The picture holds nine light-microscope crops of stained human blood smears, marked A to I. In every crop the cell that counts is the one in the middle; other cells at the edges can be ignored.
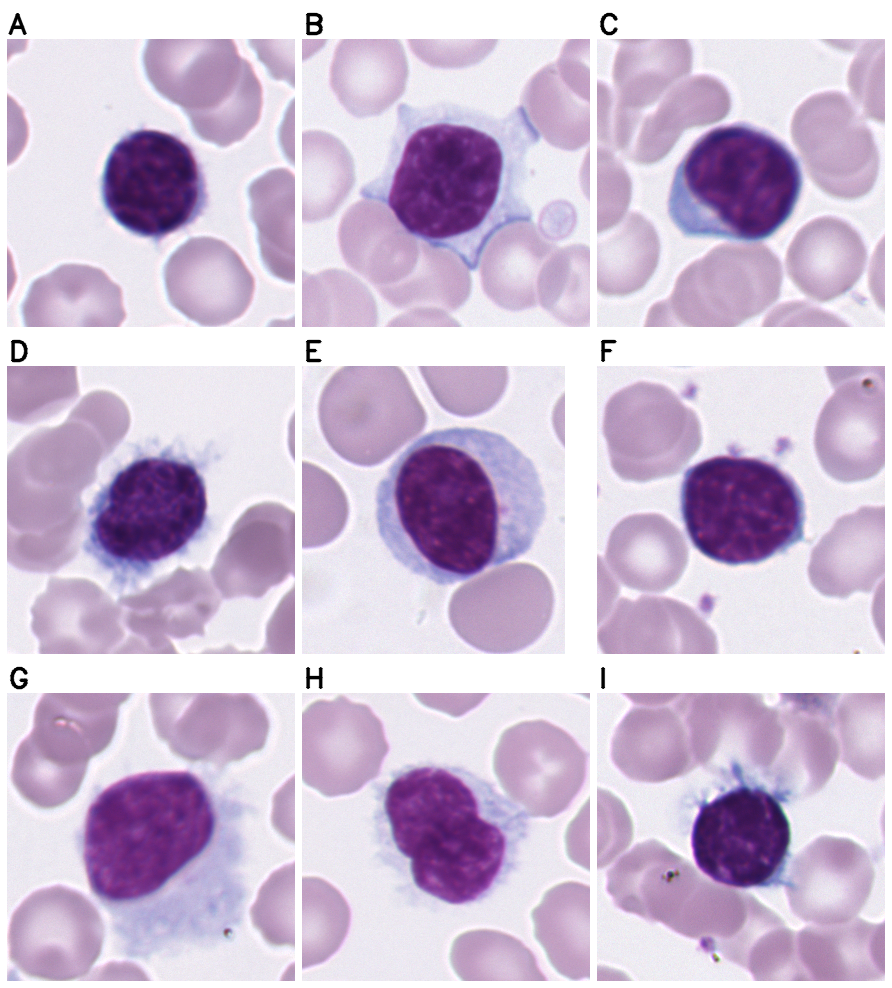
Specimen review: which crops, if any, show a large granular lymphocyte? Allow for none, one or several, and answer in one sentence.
There is no crop here whose central cell is a large granular lymphocyte.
